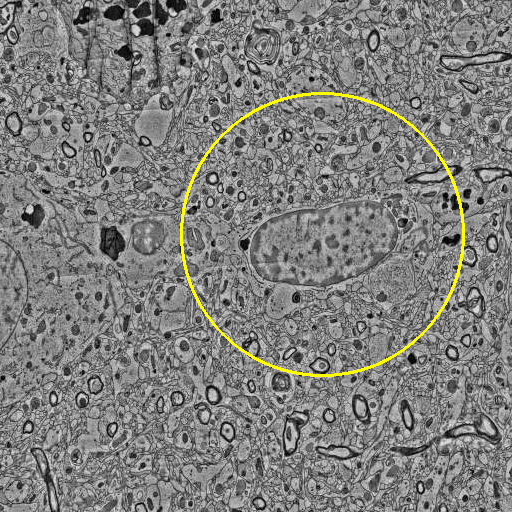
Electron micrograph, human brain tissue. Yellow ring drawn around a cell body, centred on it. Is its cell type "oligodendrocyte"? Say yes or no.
no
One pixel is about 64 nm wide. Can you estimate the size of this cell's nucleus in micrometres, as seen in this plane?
Approximately 9 by 5 micrometers, which makes the nucleus clearly longer than it is wide in this plane.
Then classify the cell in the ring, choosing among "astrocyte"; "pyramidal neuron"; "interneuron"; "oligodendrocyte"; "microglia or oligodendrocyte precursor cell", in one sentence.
The answer is that the ringed cell is a microglial cell or oligodendrocyte precursor cell.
